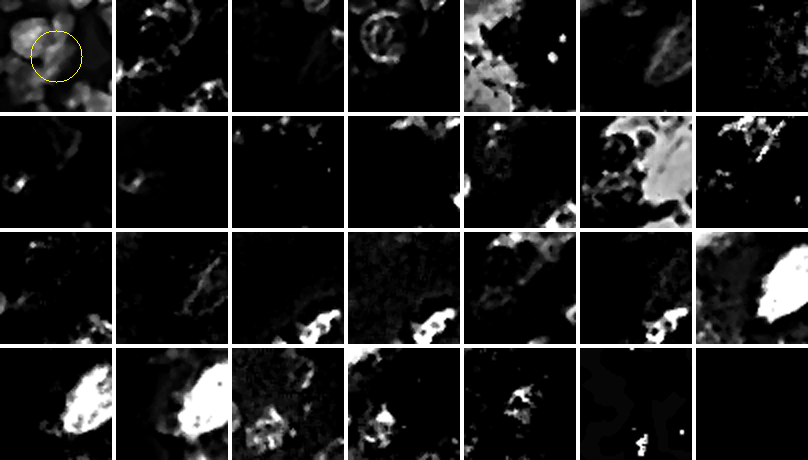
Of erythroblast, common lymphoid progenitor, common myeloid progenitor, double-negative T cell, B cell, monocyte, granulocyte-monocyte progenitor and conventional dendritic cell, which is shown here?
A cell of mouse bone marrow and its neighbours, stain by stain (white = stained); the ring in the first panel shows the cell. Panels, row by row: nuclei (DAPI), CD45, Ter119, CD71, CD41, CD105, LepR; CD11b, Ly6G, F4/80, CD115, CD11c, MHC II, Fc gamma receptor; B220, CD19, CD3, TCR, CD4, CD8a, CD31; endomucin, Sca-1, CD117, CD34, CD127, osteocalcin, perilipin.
common lymphoid progenitor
